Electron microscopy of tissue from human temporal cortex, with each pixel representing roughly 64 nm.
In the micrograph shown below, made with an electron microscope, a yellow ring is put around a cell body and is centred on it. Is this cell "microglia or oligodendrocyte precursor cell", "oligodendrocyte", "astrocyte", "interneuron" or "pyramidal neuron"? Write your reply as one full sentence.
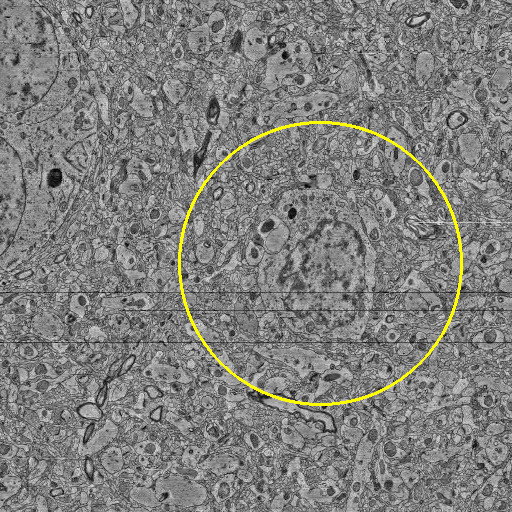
In the micrograph, an interneuron is the cell at the centre of the yellow ring.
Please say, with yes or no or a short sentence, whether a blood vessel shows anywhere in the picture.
No.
